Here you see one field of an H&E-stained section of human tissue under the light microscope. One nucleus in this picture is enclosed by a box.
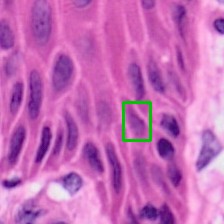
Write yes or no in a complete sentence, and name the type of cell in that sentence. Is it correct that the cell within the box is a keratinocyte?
Yes, as far as cell type goes, the cell within the box is a keratinocyte.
